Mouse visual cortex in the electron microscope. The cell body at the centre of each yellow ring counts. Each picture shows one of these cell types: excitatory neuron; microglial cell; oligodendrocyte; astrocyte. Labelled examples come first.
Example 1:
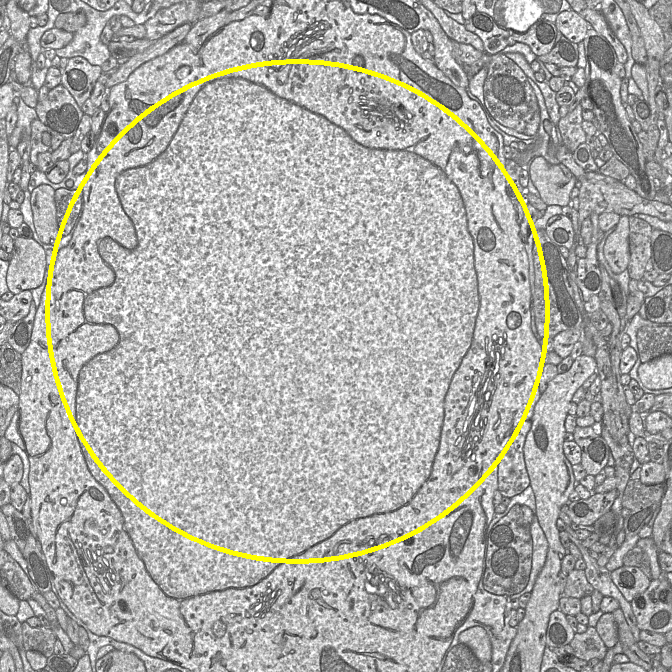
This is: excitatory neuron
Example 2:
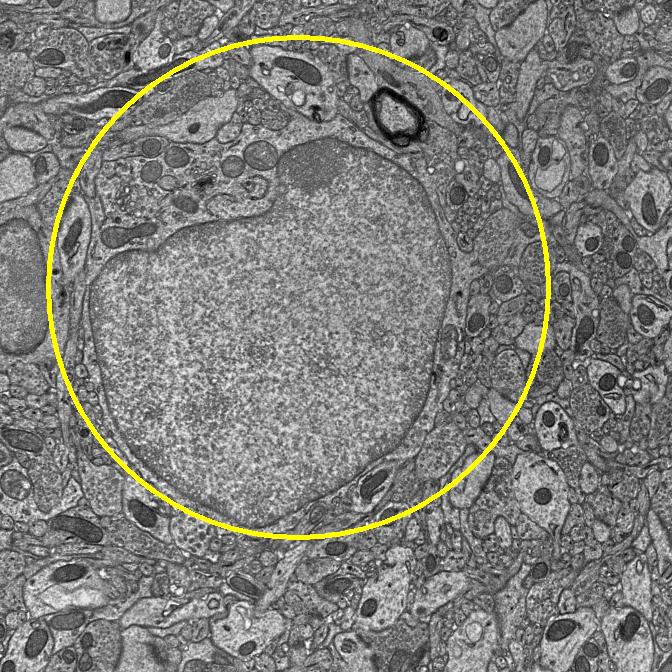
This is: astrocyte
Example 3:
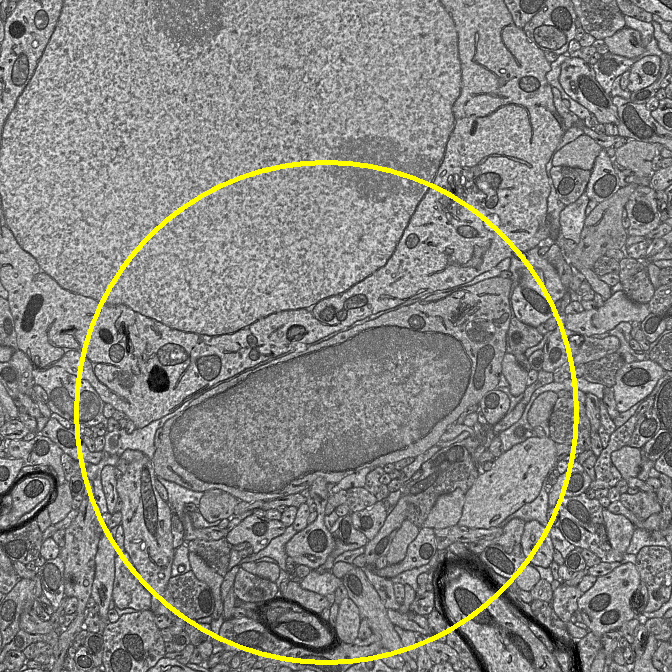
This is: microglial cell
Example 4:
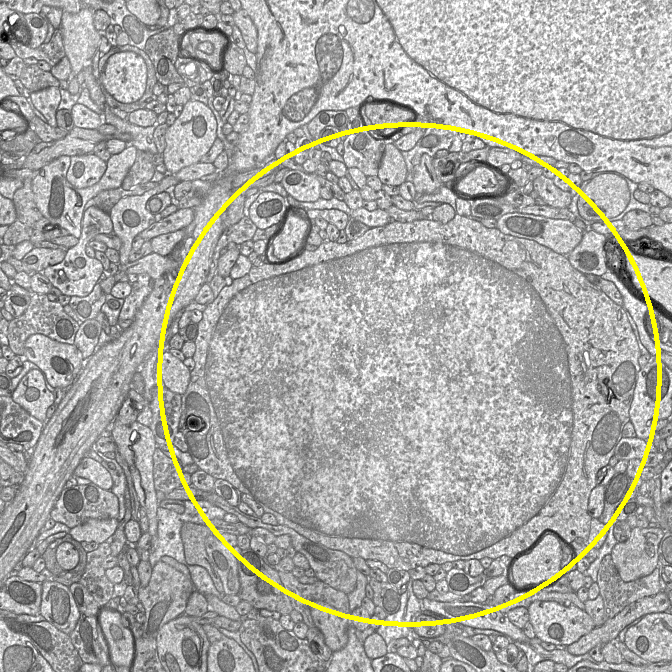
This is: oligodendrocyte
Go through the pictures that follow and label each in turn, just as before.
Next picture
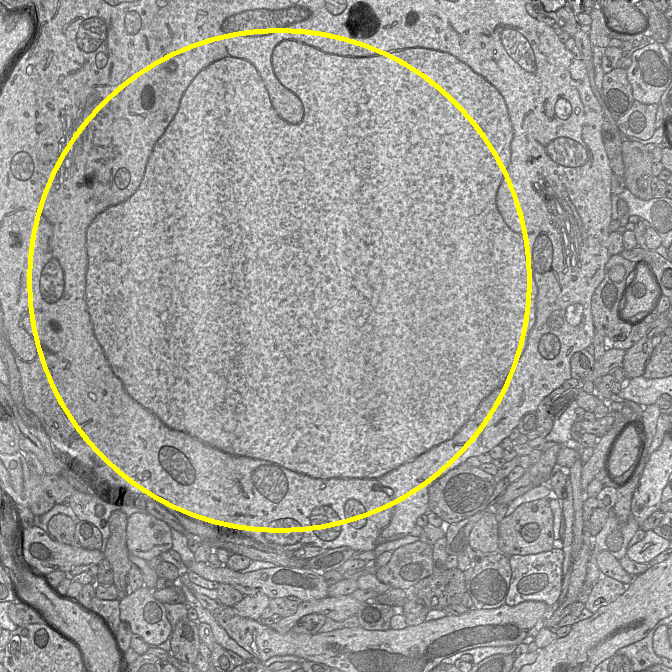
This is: excitatory neuron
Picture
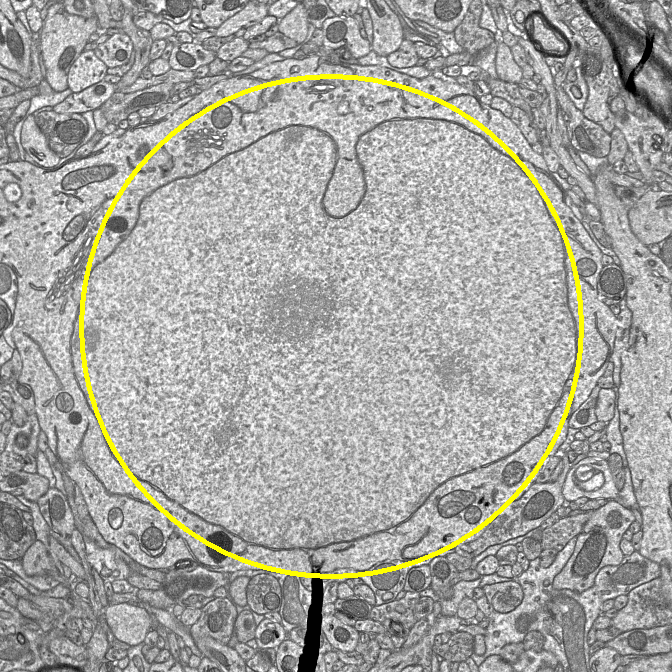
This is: excitatory neuron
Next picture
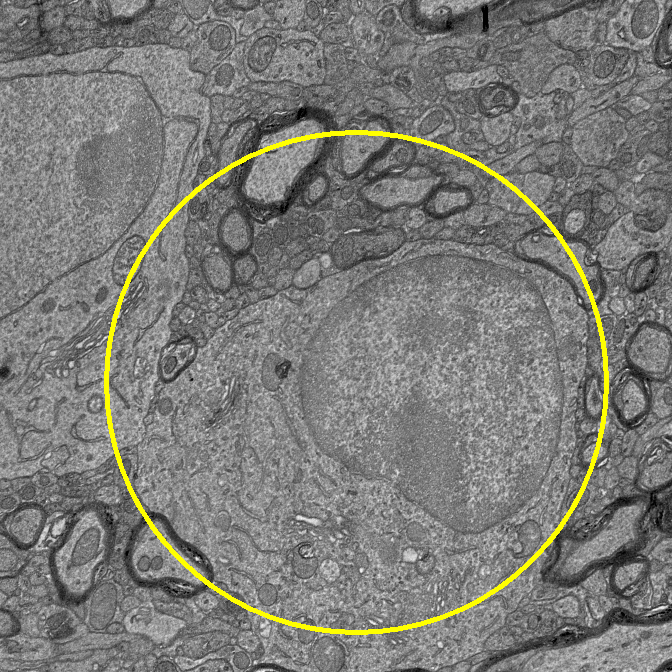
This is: oligodendrocyte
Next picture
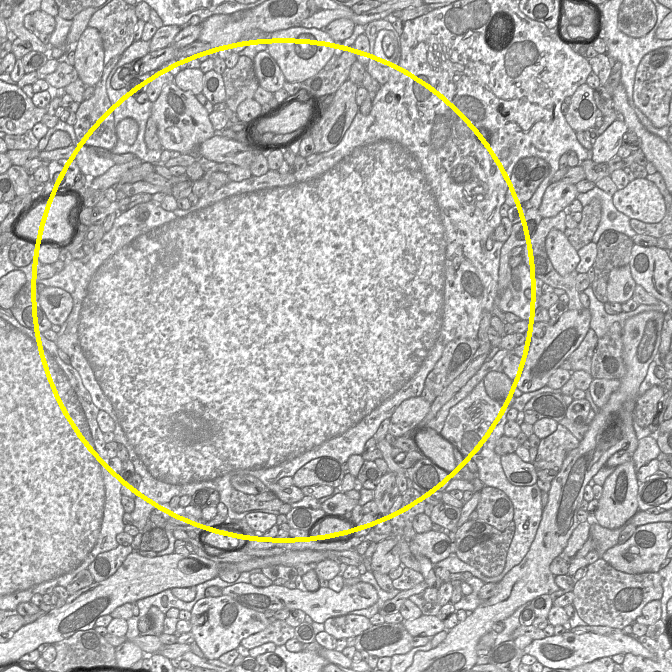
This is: astrocyte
